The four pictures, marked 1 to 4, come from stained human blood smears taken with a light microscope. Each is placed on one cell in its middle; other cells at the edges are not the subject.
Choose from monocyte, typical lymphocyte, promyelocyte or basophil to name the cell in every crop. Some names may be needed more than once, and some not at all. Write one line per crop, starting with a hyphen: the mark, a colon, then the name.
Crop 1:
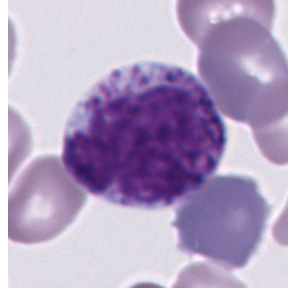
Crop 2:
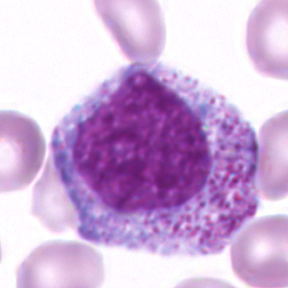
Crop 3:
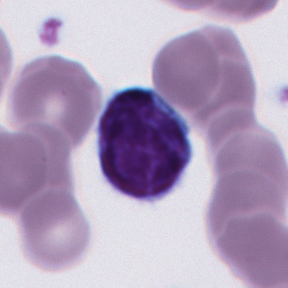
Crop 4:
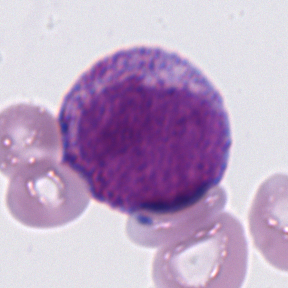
- 1: basophil
- 2: promyelocyte
- 3: typical lymphocyte
- 4: promyelocyte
